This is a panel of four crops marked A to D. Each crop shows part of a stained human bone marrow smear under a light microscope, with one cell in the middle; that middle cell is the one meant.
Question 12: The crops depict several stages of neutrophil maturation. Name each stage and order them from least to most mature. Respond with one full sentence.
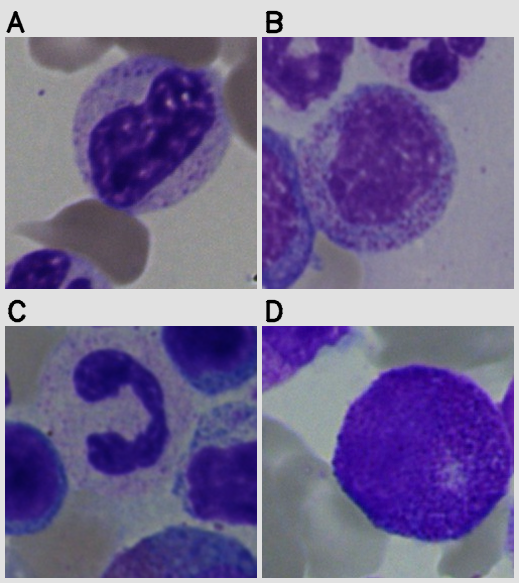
The maturity ranking, beginning with the least mature, is crop D (a promyelocyte), crop B (a myelocyte), crop A (a metamyelocyte) and crop C (a segmented neutrophil).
